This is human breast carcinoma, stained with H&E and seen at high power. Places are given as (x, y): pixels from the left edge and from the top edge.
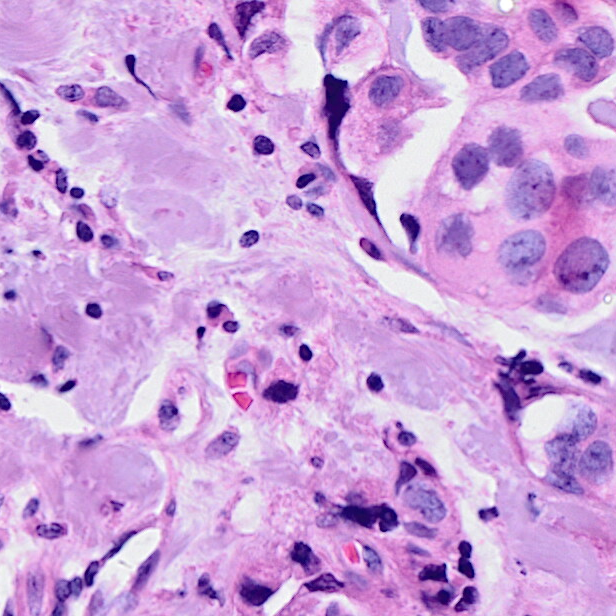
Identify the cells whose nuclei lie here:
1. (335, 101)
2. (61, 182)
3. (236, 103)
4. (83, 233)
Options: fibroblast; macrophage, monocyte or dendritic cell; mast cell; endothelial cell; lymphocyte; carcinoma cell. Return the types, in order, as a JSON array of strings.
["carcinoma cell", "lymphocyte", "lymphocyte", "lymphocyte"]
